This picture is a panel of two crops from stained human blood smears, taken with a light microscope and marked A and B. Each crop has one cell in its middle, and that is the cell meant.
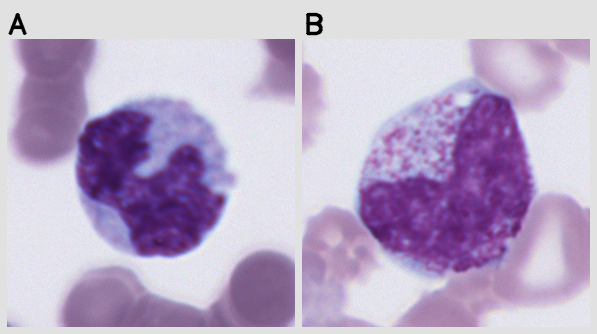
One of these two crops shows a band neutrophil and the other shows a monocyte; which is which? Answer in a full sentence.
In this set, crop A shows a monocyte and crop B shows a band neutrophil.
